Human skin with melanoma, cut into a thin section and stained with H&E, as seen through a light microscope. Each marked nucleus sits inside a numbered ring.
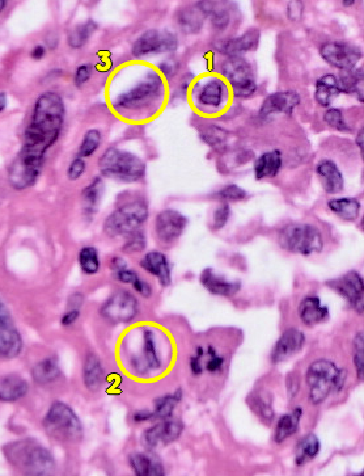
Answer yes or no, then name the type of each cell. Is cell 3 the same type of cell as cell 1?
Yes, cells 3 and 1 have the same identity; both are melanoma cells.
